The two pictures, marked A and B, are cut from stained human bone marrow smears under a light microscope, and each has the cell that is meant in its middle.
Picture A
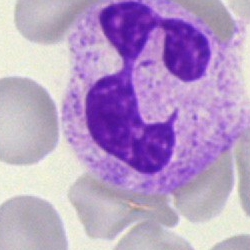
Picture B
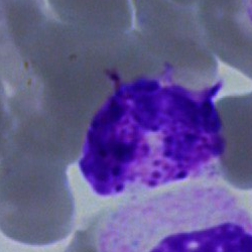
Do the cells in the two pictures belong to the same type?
no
